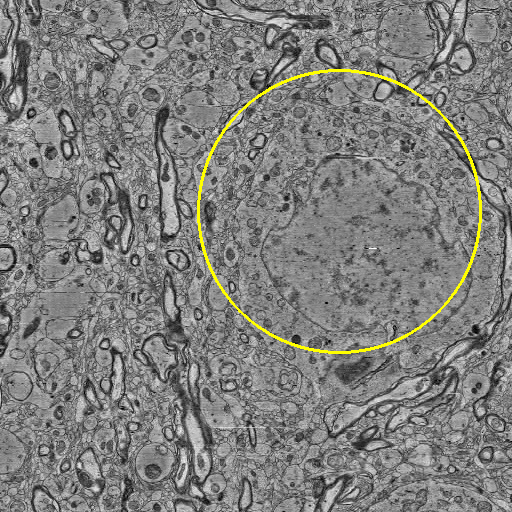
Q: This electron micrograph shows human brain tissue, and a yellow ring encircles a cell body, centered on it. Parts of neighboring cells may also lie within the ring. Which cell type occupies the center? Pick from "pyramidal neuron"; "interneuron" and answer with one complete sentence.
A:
What sits at the ring's center in this micrograph is an interneuron, among those choices.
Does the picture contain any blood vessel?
No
